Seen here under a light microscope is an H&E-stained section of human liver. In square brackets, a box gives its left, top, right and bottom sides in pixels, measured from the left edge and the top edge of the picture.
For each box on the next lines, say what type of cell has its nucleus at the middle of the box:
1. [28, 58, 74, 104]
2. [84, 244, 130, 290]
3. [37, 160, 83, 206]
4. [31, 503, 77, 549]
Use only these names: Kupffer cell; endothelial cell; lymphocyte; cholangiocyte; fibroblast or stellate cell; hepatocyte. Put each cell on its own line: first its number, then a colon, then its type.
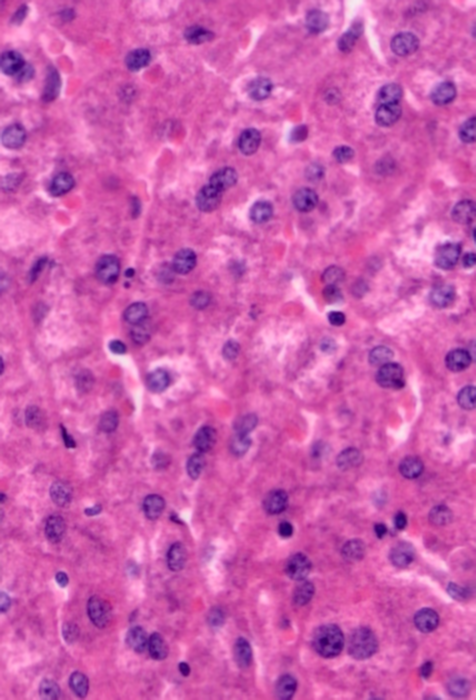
1: Kupffer cell
2: hepatocyte
3: hepatocyte
4: hepatocyte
